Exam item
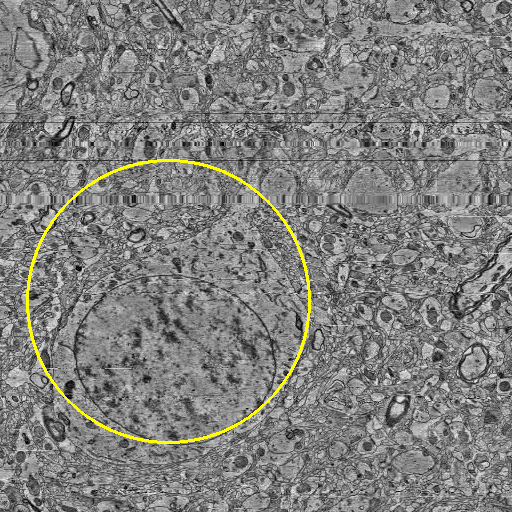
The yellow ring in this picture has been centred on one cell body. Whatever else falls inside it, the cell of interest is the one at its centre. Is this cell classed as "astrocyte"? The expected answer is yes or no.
no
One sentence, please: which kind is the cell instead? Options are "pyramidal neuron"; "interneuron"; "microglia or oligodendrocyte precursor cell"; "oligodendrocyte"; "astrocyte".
Instead, the cell inside the ring is a pyramidal neuron.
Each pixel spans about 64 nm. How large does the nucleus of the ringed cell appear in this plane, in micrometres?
In this plane, the nucleus of the cell at the centre of the ring measures about 13 by 11 micrometres.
